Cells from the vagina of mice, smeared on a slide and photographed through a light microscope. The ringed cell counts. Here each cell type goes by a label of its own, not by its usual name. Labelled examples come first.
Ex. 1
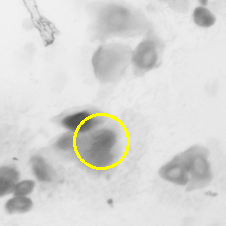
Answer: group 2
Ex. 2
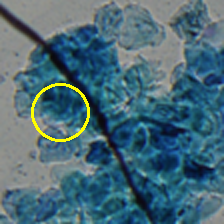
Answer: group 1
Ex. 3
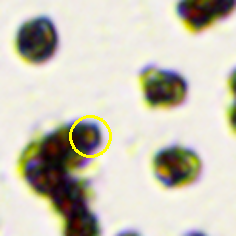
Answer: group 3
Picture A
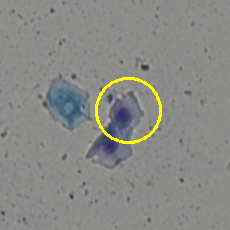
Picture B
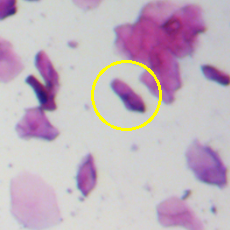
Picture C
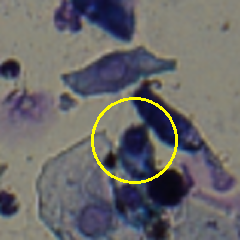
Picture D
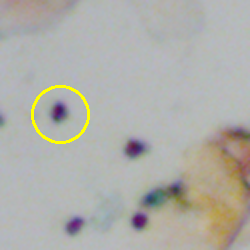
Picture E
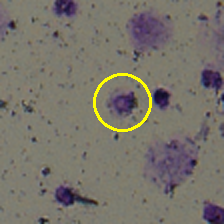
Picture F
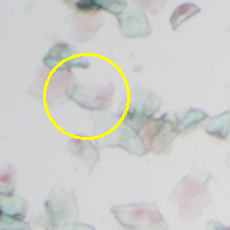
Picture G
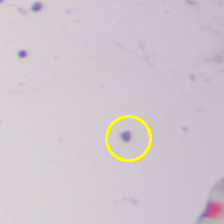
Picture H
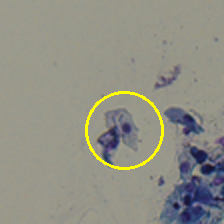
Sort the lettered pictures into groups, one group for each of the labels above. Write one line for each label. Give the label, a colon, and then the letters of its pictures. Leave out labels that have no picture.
group 2: A, C, H
group 1: B, F
group 3: D, E, G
